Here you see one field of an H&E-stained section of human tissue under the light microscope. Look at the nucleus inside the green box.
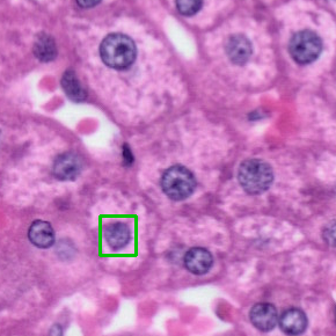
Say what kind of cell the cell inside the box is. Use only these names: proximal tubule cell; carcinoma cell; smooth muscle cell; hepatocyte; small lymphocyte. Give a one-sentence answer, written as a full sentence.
Placed in its cell category, the cell inside the box is a hepatocyte.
